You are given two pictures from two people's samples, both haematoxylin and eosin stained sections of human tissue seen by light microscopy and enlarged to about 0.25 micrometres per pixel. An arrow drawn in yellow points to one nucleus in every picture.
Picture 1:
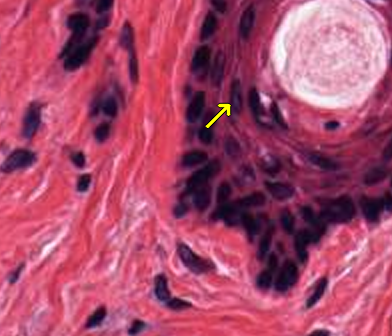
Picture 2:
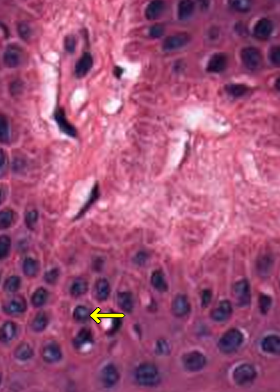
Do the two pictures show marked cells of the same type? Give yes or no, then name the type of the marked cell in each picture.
Yes, both are keratinocytes.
